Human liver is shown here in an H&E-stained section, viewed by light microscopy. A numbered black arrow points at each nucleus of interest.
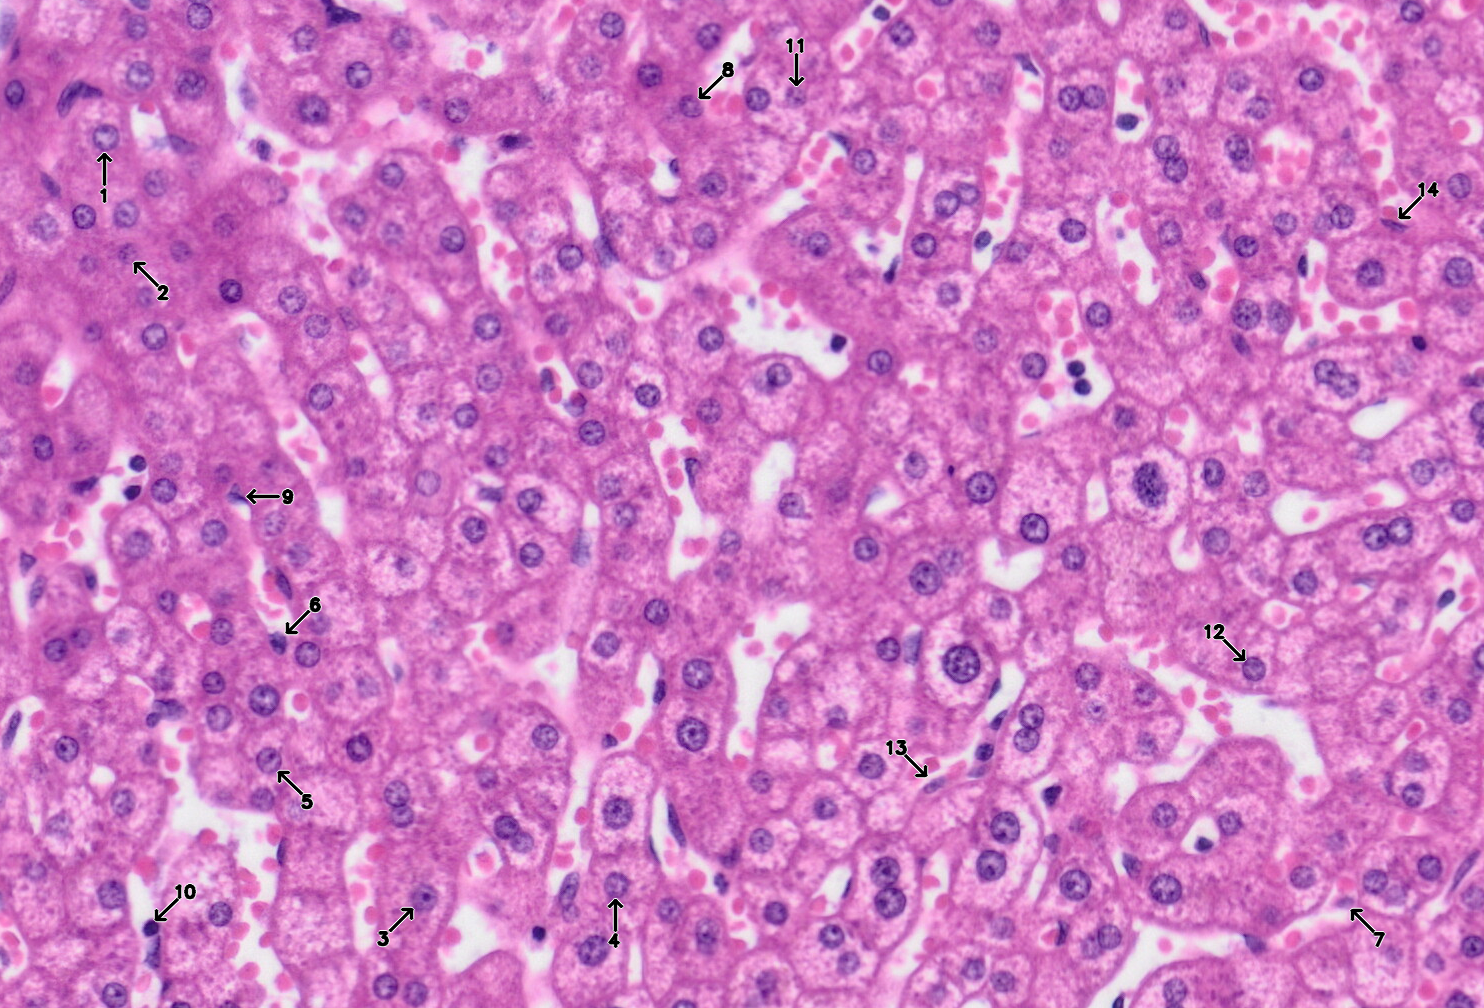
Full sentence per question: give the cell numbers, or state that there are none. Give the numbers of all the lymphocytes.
The only cell among those numbered to be a lymphocyte is number 10.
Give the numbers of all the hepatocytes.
Into the category of hepatocytes fall the cells numbered 1, 2, 3, 4, 5, 8, 11 and 12.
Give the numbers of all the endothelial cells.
Marked by the numbers 9 and 14 are cells that are endothelial cells.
